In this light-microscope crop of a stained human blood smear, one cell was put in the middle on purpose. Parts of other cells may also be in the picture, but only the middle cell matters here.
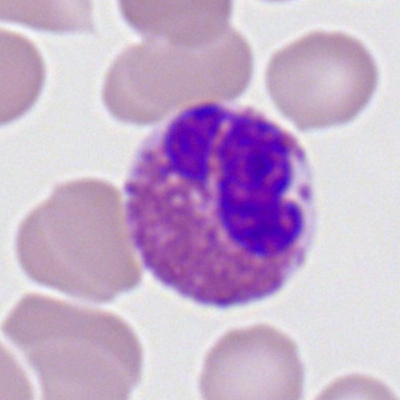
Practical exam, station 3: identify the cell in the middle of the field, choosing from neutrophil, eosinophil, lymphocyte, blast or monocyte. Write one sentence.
The cell at the centre of the field is an eosinophil.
